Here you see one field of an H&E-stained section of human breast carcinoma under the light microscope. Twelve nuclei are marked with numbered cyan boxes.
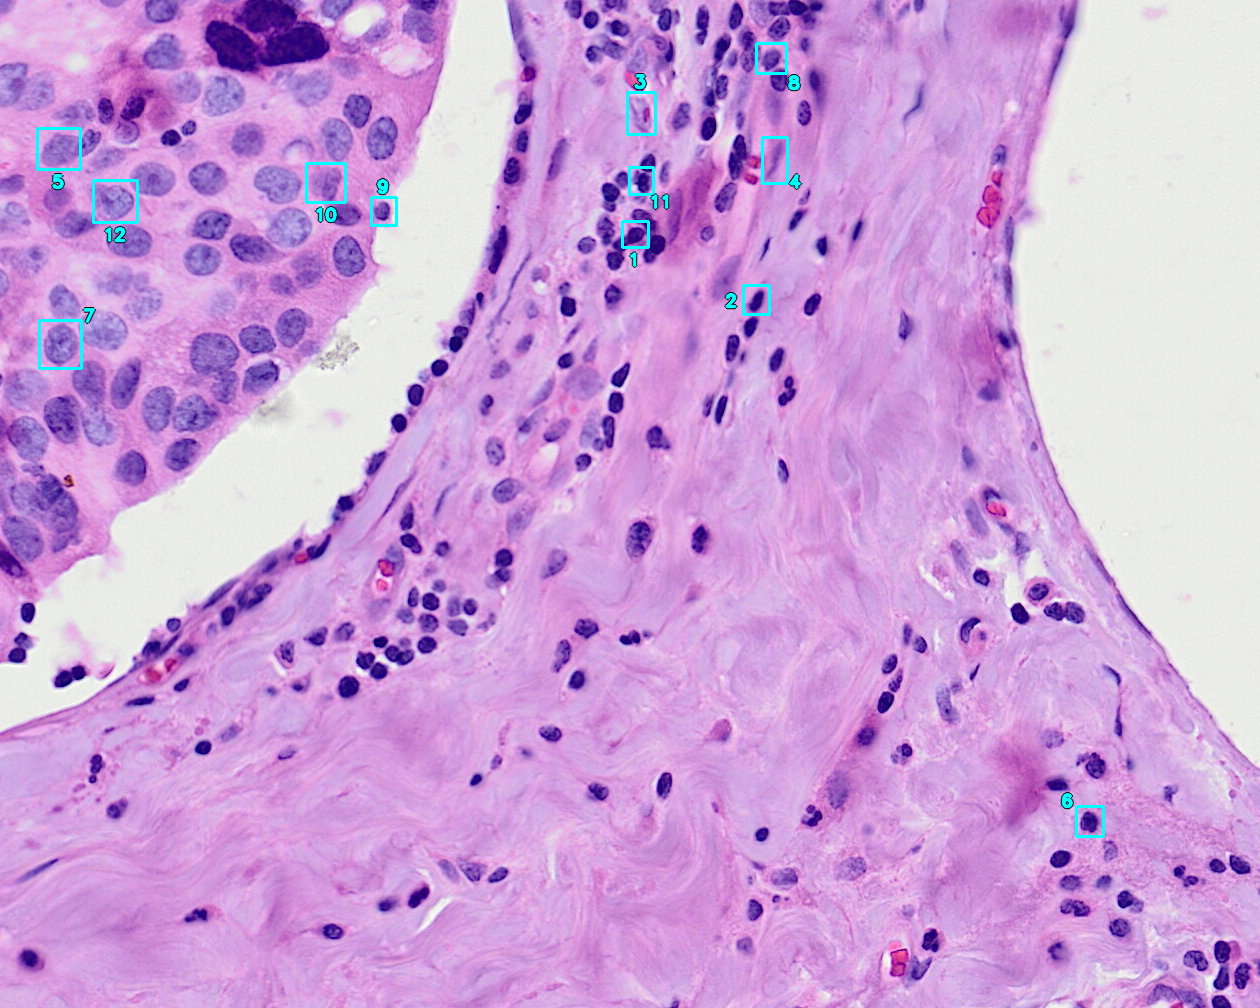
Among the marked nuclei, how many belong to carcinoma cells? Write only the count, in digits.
4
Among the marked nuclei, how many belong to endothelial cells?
2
